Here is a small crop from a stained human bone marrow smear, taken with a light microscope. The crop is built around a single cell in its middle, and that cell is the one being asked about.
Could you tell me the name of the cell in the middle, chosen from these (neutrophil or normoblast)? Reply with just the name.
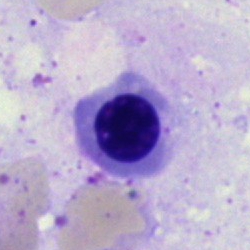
normoblast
